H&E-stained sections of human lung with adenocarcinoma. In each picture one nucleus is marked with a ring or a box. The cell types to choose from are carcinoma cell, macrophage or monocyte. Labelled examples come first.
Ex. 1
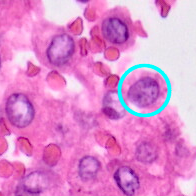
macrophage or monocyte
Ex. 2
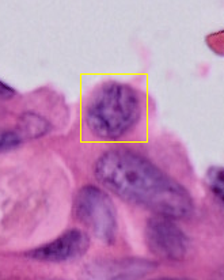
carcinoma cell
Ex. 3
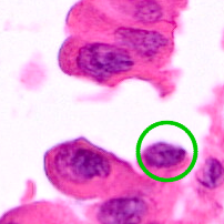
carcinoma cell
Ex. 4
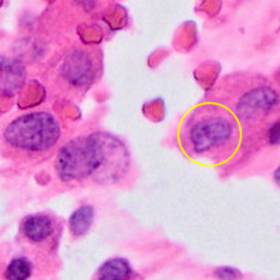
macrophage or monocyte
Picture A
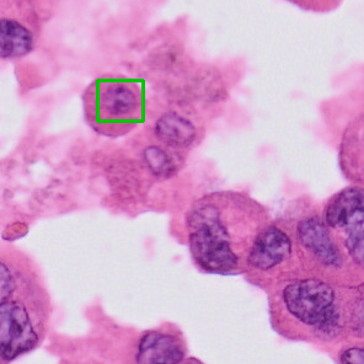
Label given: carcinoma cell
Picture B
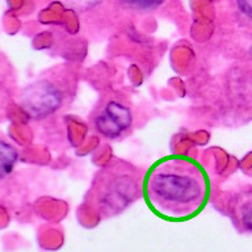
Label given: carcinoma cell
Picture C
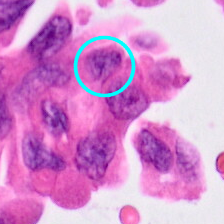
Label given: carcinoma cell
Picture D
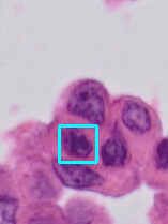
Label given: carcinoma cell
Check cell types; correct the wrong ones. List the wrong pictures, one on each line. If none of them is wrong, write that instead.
A: not carcinoma cell but macrophage or monocyte
B: not carcinoma cell but macrophage or monocyte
